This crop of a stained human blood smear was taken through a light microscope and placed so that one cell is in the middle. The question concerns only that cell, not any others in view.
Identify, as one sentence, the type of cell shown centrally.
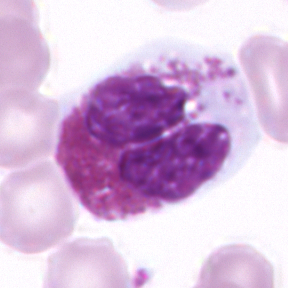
Framed in the middle of the crop is an eosinophil.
